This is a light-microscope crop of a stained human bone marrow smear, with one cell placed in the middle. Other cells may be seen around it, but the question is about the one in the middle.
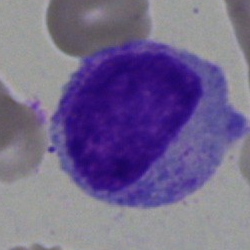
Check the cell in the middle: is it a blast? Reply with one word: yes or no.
no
